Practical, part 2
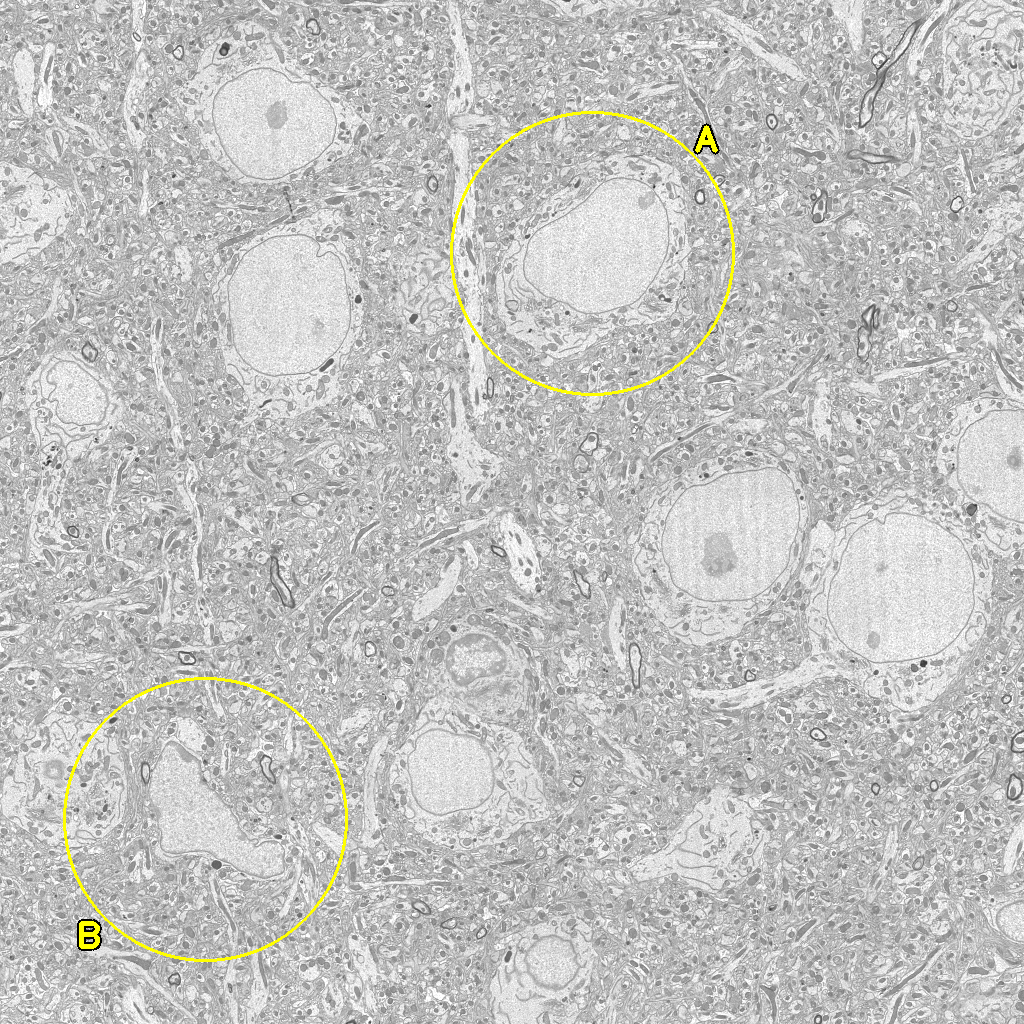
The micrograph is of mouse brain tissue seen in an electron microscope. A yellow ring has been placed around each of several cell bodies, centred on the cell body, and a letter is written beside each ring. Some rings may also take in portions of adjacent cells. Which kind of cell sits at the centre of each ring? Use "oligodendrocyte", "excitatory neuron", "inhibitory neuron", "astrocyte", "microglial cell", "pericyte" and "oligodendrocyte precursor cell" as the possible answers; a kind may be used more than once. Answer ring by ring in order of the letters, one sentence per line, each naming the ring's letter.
Ring A sits on an excitatory neuron.
Ring B sits on an oligodendrocyte precursor cell.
